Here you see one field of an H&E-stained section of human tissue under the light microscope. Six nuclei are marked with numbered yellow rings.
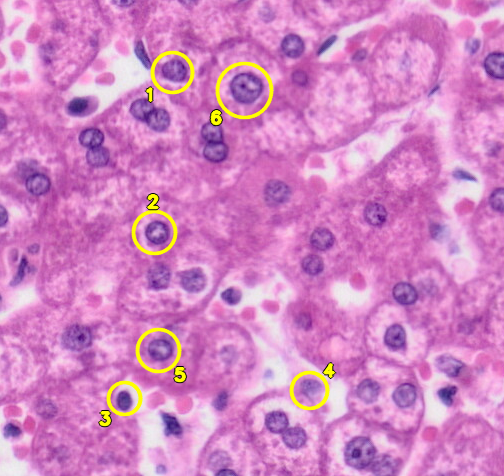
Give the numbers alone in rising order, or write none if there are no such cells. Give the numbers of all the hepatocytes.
1, 2, 5, 6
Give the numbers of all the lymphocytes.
3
